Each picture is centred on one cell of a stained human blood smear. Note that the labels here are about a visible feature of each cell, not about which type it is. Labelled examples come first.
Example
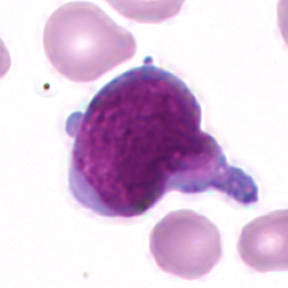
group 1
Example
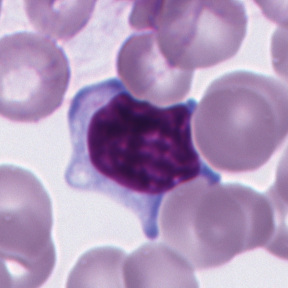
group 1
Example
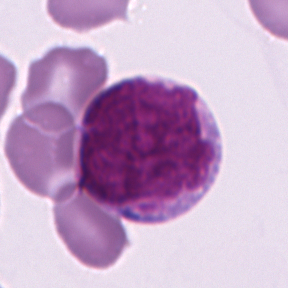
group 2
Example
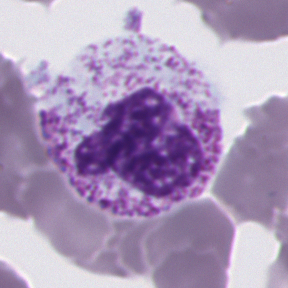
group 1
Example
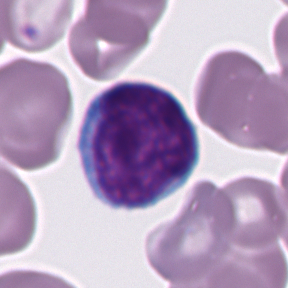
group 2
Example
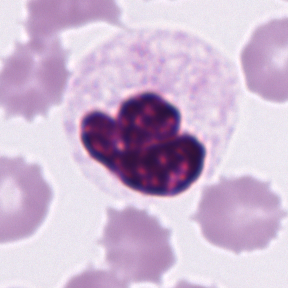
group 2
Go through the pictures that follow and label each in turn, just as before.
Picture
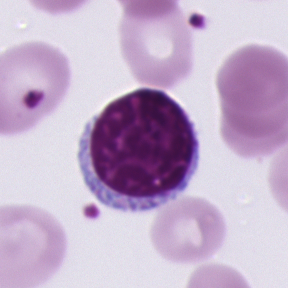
group 2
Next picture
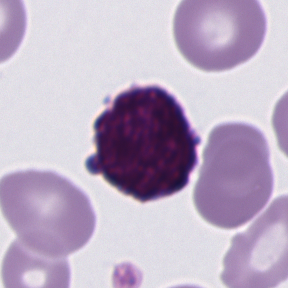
group 1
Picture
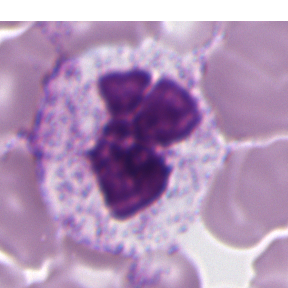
group 1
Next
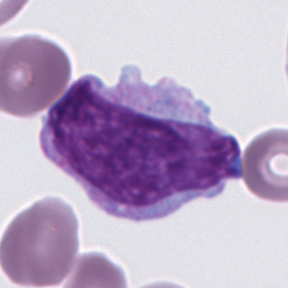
group 1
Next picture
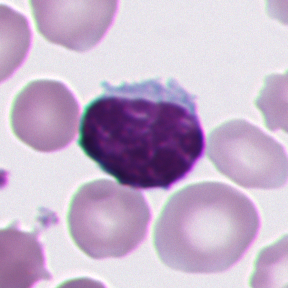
group 1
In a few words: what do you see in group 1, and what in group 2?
group 1: ragged outline or projections; group 2: smooth outline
